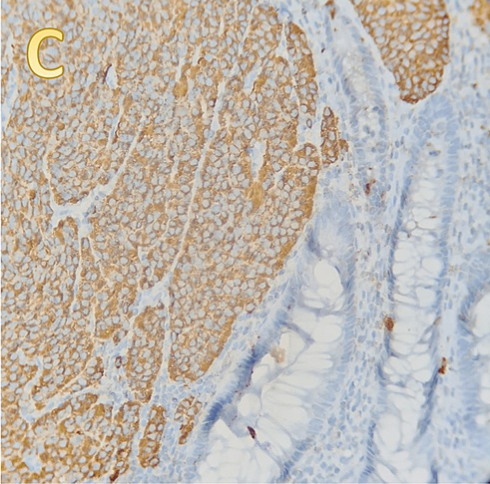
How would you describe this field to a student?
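Tumor cells packed in large rounded nests show granular brown cytoplasmic staining, outlined by thin unstained stromal septa. Beside them lie glandular crypts lined by columnar and goblet cells with clear mucin vacuoles, which stay blue and unstained.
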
